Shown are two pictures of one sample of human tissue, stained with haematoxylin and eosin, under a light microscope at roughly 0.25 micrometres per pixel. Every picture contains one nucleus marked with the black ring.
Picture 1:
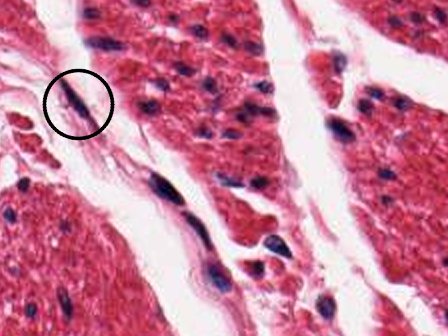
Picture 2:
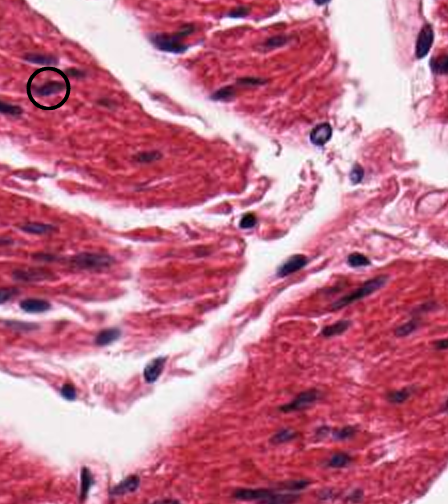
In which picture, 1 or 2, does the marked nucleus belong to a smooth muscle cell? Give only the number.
2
